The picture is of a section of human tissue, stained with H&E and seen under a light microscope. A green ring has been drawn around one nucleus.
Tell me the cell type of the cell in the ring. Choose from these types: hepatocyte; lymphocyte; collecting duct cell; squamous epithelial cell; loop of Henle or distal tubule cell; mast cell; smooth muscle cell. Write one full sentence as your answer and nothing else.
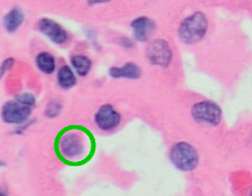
The cell type of the cell in the ring is that of a loop of Henle or distal tubule cell.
